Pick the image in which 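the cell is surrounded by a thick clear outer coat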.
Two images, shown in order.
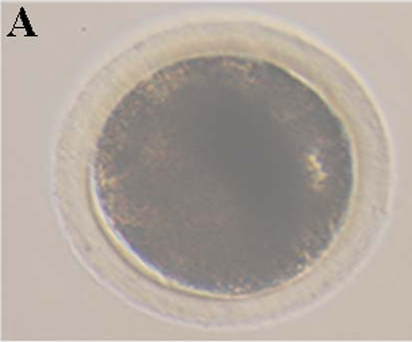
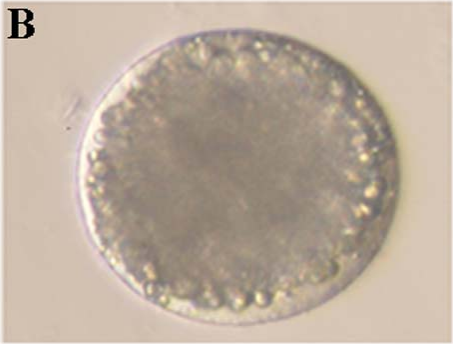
the first image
